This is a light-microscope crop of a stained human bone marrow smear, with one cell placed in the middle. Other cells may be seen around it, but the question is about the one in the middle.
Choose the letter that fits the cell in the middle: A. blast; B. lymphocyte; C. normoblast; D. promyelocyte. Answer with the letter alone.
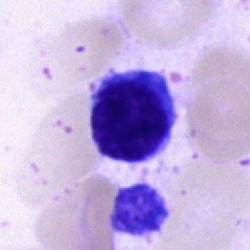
B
